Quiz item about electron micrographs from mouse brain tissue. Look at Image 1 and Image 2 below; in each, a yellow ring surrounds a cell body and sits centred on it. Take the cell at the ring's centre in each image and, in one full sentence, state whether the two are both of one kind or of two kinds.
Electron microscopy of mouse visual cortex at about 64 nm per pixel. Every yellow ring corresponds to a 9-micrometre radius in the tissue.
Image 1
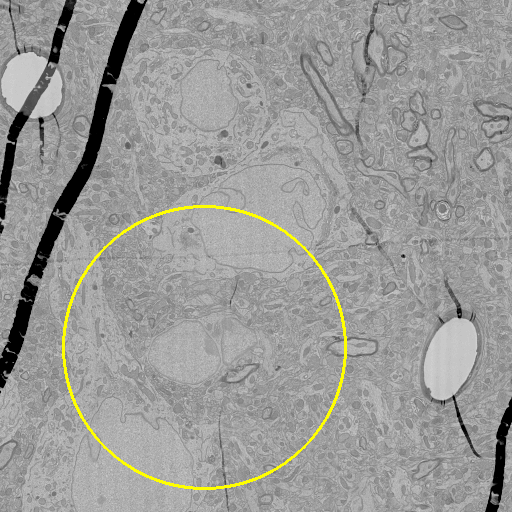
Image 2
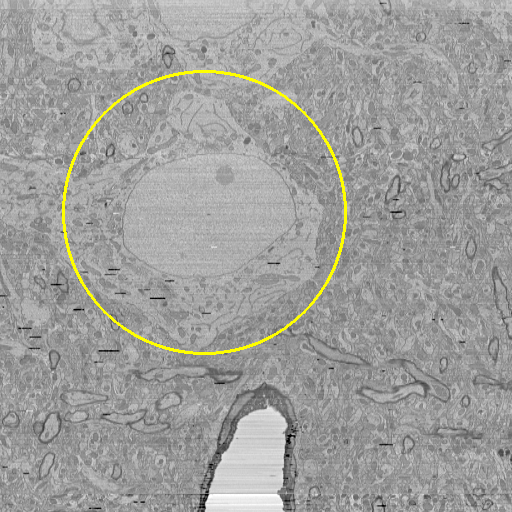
In Image 1 and Image 2, the cells at the ring centres are of two kinds.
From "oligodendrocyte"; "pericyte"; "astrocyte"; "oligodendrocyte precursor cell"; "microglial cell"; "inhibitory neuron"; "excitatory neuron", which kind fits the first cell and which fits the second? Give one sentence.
The cell marked in the first picture is an oligodendrocyte precursor cell, and the one marked in the second is an excitatory neuron.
